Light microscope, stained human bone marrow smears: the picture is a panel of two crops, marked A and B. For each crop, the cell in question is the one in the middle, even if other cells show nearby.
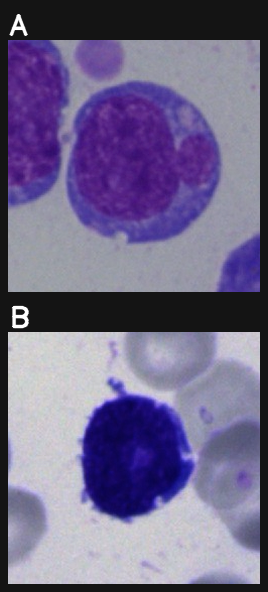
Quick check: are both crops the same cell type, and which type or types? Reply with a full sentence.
Yes, the two crops show blasts, both of them.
